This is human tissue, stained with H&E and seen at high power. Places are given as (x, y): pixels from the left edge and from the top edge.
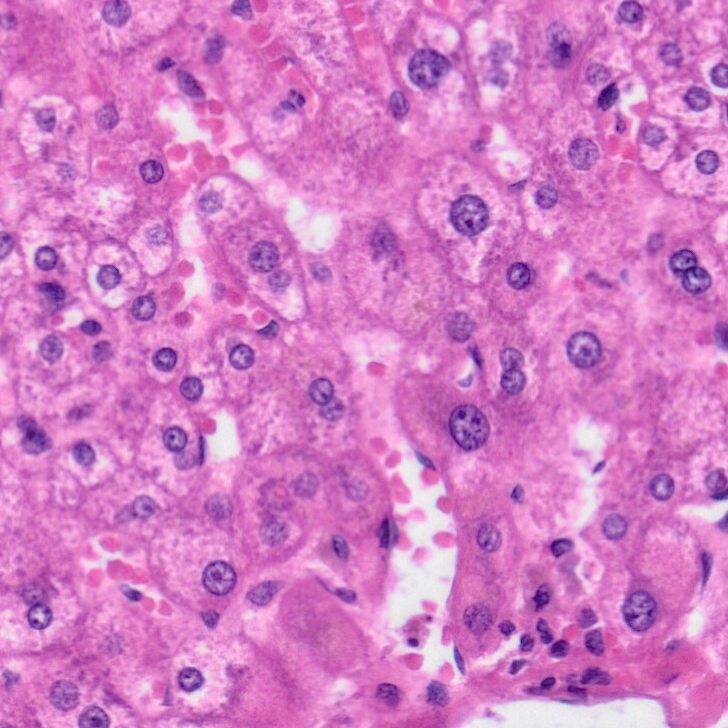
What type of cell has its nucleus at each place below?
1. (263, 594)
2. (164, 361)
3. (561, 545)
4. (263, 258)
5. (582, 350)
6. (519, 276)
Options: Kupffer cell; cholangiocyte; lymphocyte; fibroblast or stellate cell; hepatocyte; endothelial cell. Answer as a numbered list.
1. Kupffer cell
2. hepatocyte
3. fibroblast or stellate cell
4. hepatocyte
5. hepatocyte
6. hepatocyte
